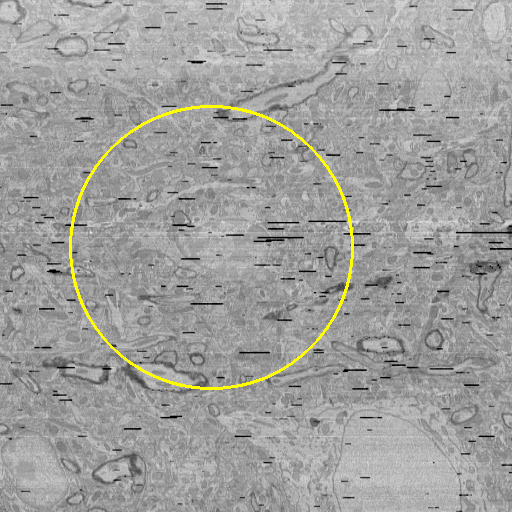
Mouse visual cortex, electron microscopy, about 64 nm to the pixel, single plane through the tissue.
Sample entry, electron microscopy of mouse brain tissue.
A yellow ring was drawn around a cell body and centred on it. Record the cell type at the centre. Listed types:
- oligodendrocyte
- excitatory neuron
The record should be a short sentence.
The cell at the ring's centre is an oligodendrocyte.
